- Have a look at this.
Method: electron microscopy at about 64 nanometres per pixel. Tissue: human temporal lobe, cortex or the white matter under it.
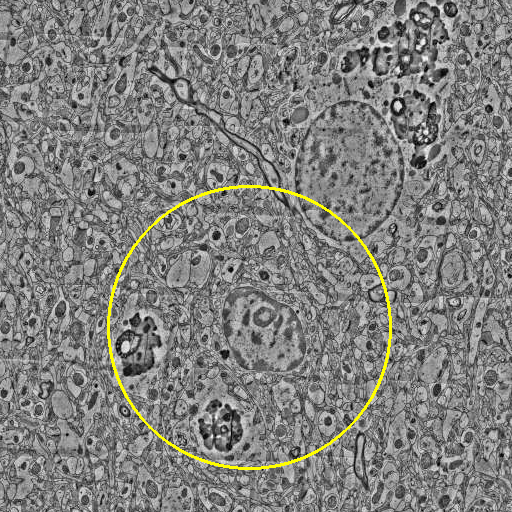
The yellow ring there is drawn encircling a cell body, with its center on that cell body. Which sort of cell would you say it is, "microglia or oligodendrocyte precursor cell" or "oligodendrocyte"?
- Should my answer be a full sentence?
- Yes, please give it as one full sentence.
For this picture, a microglial cell or oligodendrocyte precursor cell is the cell where the yellow ring has its center.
